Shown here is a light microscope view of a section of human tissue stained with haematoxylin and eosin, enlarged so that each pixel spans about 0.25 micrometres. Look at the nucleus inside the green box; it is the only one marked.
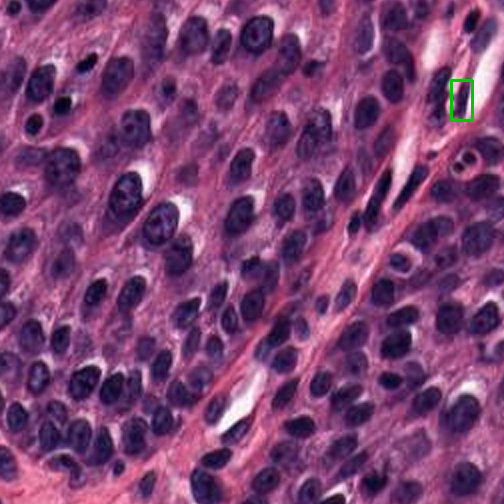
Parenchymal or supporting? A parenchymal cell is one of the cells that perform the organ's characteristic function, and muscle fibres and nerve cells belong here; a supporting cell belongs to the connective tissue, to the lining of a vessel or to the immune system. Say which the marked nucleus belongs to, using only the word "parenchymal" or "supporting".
supporting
